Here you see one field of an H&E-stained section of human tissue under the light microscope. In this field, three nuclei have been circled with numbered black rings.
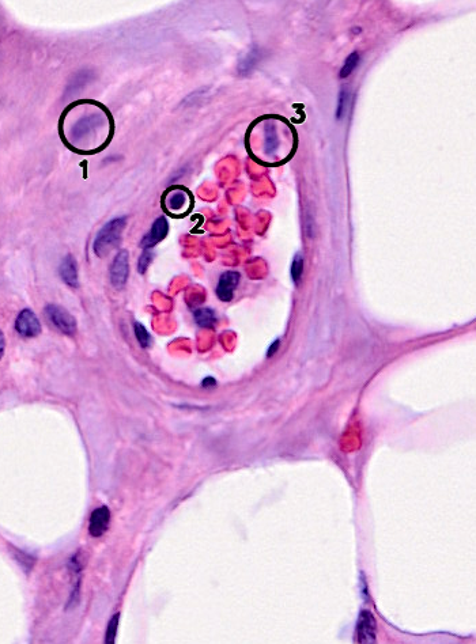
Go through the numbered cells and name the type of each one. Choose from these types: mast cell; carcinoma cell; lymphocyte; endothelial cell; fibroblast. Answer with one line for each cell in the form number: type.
1: fibroblast
2: endothelial cell
3: endothelial cell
